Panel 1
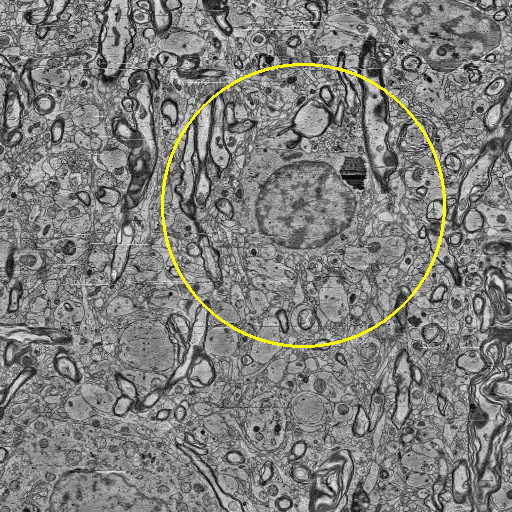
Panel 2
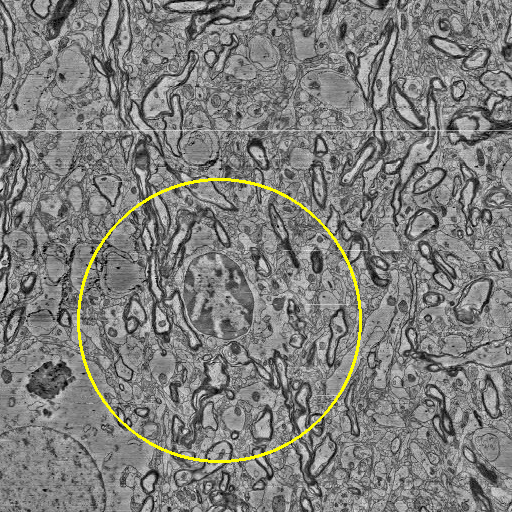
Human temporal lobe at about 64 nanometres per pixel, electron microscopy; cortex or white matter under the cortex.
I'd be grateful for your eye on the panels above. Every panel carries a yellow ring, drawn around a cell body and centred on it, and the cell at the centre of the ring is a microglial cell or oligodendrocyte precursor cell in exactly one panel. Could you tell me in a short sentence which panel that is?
Panel 2 is the one with it at the centre of the ring.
